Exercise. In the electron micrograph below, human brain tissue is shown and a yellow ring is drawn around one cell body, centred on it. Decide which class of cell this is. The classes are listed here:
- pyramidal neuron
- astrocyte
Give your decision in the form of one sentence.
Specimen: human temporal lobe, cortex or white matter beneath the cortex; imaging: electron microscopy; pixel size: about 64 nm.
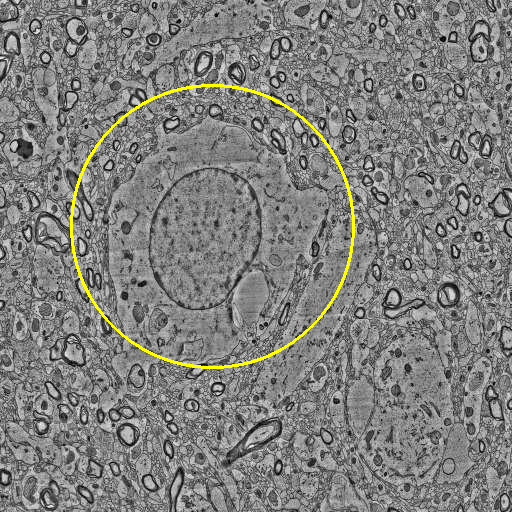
The cell body marked by the ring belongs to an astrocyte.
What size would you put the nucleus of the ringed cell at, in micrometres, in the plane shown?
In this plane, the nucleus is roughly 9 by 7 micrometres.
